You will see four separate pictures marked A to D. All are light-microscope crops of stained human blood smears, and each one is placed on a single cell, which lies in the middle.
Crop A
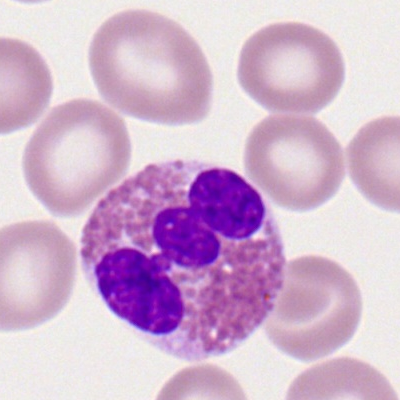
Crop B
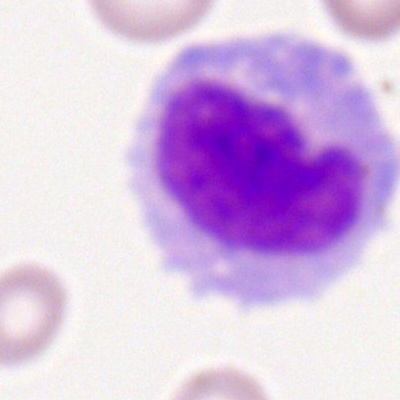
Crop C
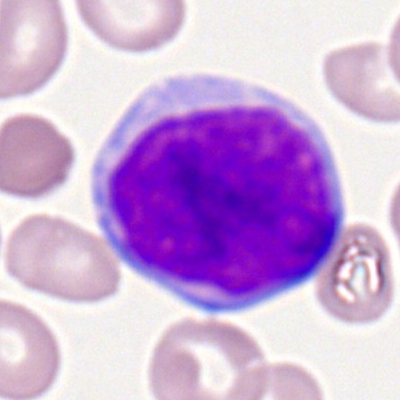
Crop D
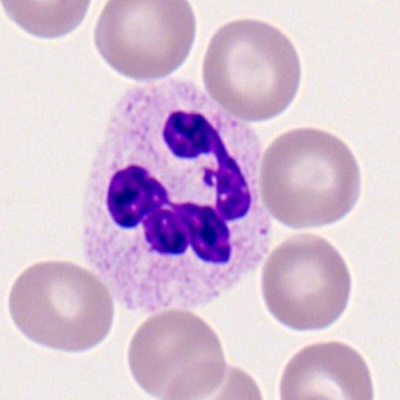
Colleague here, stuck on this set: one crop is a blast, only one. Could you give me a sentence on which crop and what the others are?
The cell sitting in crop C is a blast, while crop A is an eosinophil, crop B is a monocyte and crop D is a neutrophil.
